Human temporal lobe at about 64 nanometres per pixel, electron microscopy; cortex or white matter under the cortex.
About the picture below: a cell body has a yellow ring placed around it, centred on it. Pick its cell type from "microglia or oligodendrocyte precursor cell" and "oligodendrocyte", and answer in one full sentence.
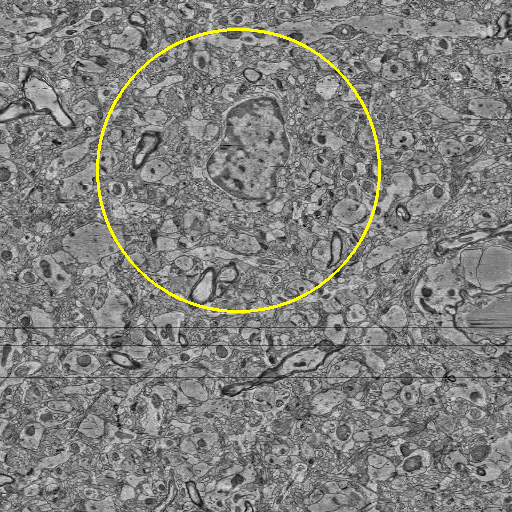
In the picture, a microglial cell or oligodendrocyte precursor cell is the cell sitting at the centre of the yellow ring.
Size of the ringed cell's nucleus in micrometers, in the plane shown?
In this plane, roughly 7 by 5 micrometres.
